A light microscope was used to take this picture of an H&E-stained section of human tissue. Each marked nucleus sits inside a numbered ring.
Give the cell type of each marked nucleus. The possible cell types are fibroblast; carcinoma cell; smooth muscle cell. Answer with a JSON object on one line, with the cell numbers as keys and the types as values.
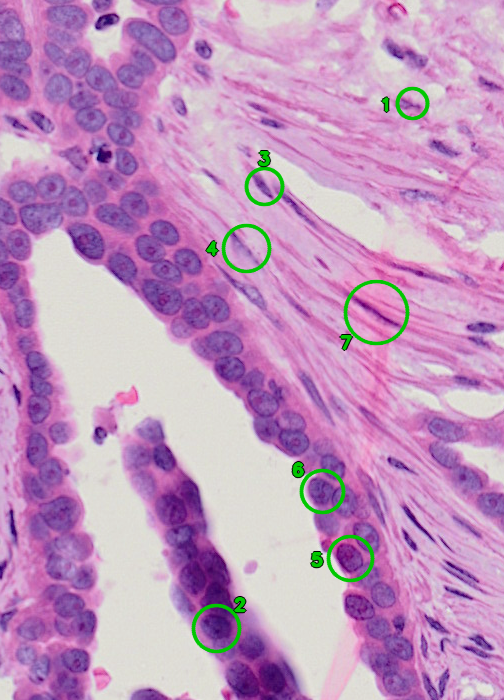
{"1": "fibroblast", "2": "carcinoma cell", "3": "fibroblast", "4": "fibroblast", "5": "carcinoma cell", "6": "carcinoma cell", "7": "fibroblast"}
